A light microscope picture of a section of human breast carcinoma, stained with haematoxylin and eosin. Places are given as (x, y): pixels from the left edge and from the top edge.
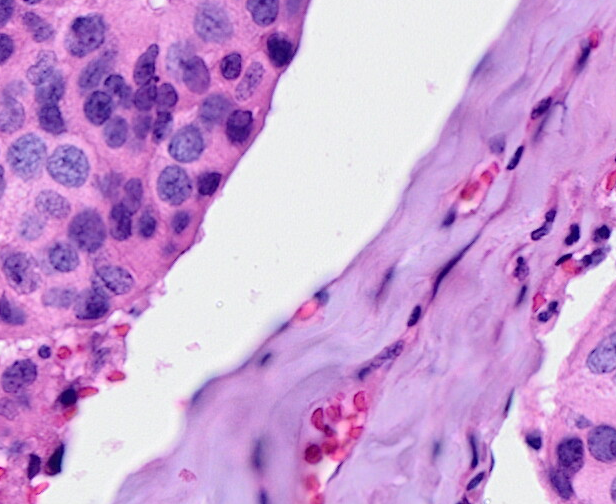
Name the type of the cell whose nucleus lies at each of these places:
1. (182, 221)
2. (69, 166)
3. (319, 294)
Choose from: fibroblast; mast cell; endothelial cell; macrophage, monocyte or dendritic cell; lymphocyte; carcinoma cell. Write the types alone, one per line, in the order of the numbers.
carcinoma cell
carcinoma cell
endothelial cell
